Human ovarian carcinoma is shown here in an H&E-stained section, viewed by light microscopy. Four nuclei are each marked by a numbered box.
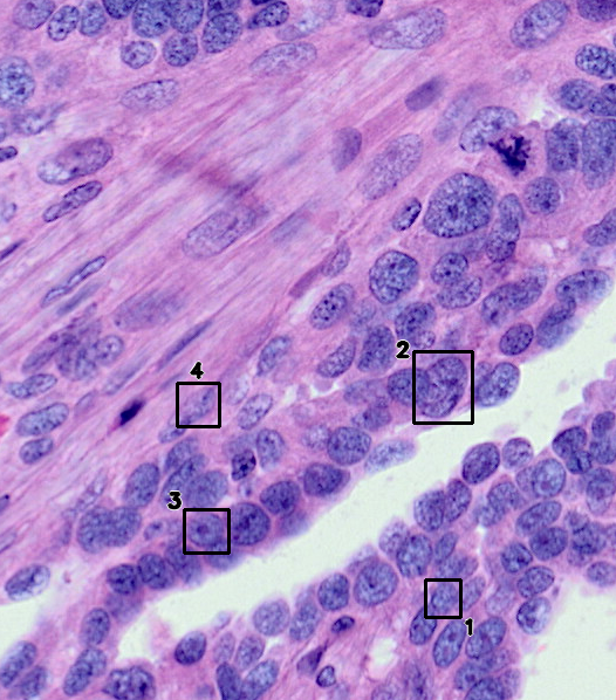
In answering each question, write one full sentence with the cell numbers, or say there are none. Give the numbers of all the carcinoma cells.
Cells 1, 2 and 3 in the section are typed as carcinoma cells.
